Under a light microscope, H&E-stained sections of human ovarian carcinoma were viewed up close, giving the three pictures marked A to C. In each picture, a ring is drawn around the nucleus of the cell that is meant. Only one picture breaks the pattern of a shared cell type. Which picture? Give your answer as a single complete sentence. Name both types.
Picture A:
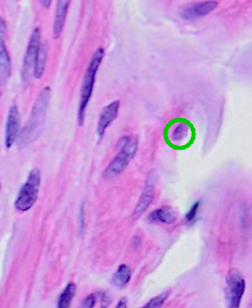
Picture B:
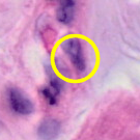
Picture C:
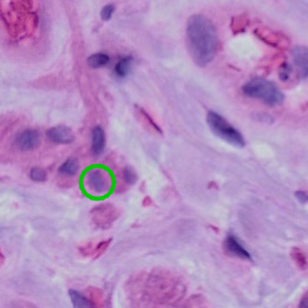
The different one is picture B; it shows an endothelial cell, whereas all the others show smooth muscle cells.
